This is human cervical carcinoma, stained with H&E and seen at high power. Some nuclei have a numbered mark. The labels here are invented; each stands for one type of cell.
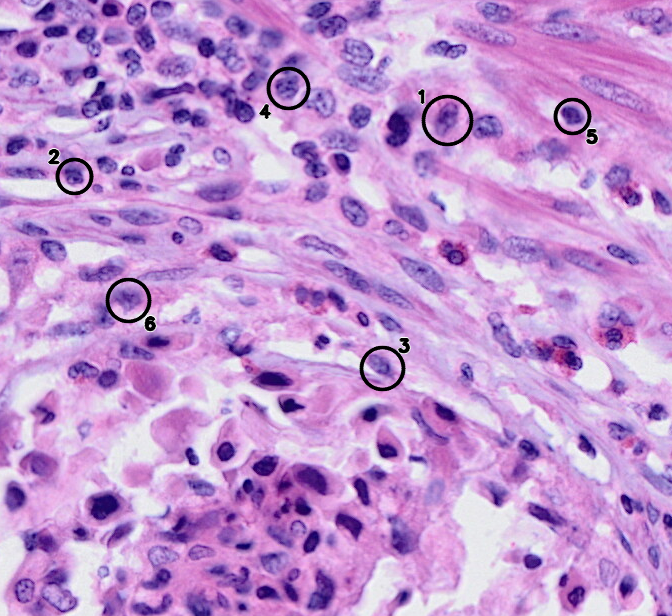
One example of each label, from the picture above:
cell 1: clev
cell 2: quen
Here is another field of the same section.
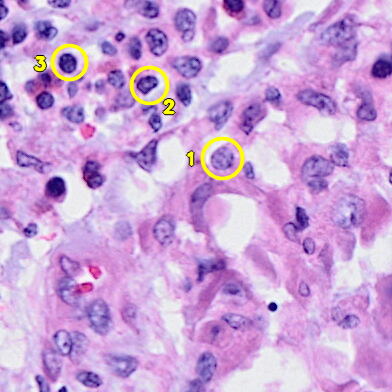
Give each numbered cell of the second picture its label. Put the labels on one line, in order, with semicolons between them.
clev; quen; quen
